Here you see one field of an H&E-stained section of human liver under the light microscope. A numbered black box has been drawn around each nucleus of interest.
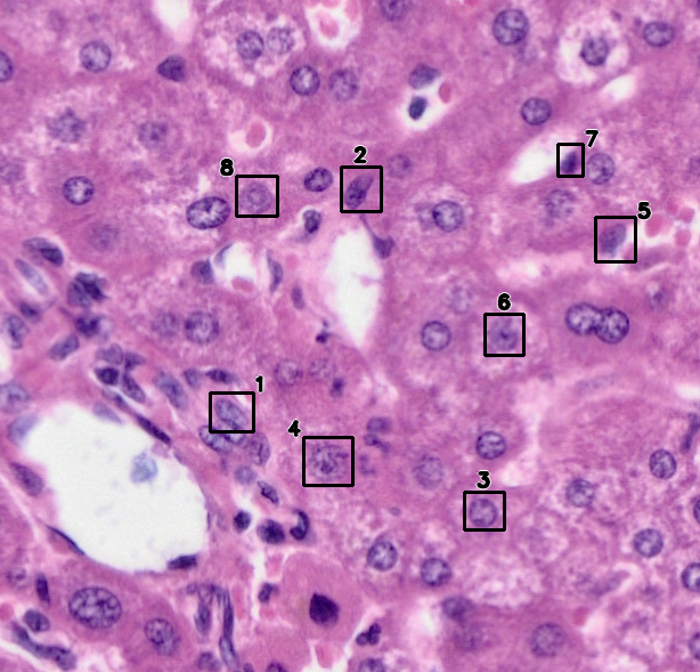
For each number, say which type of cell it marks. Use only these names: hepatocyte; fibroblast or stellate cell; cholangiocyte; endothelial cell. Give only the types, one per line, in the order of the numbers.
cholangiocyte
fibroblast or stellate cell
hepatocyte
hepatocyte
endothelial cell
hepatocyte
fibroblast or stellate cell
hepatocyte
